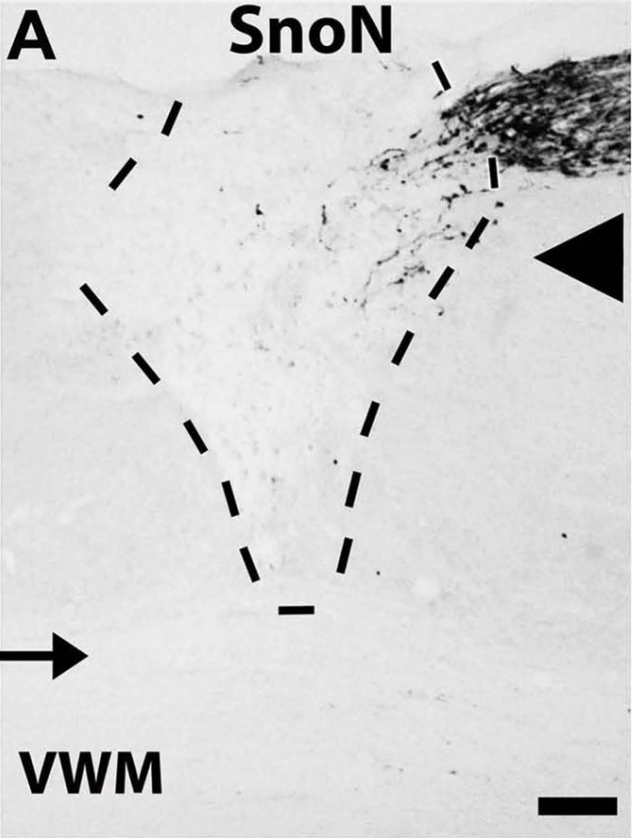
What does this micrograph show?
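In the upper right corner a dense, dark bundle of thin fibers runs along the dorsal surface. From the lower left edge of that bundle, individual dark fibers branch and wander into the funnel-shaped lesion zone outlined by the dashed line. The lesion zone and the surrounding cord are otherwise pale and show little texture at this magnification.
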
